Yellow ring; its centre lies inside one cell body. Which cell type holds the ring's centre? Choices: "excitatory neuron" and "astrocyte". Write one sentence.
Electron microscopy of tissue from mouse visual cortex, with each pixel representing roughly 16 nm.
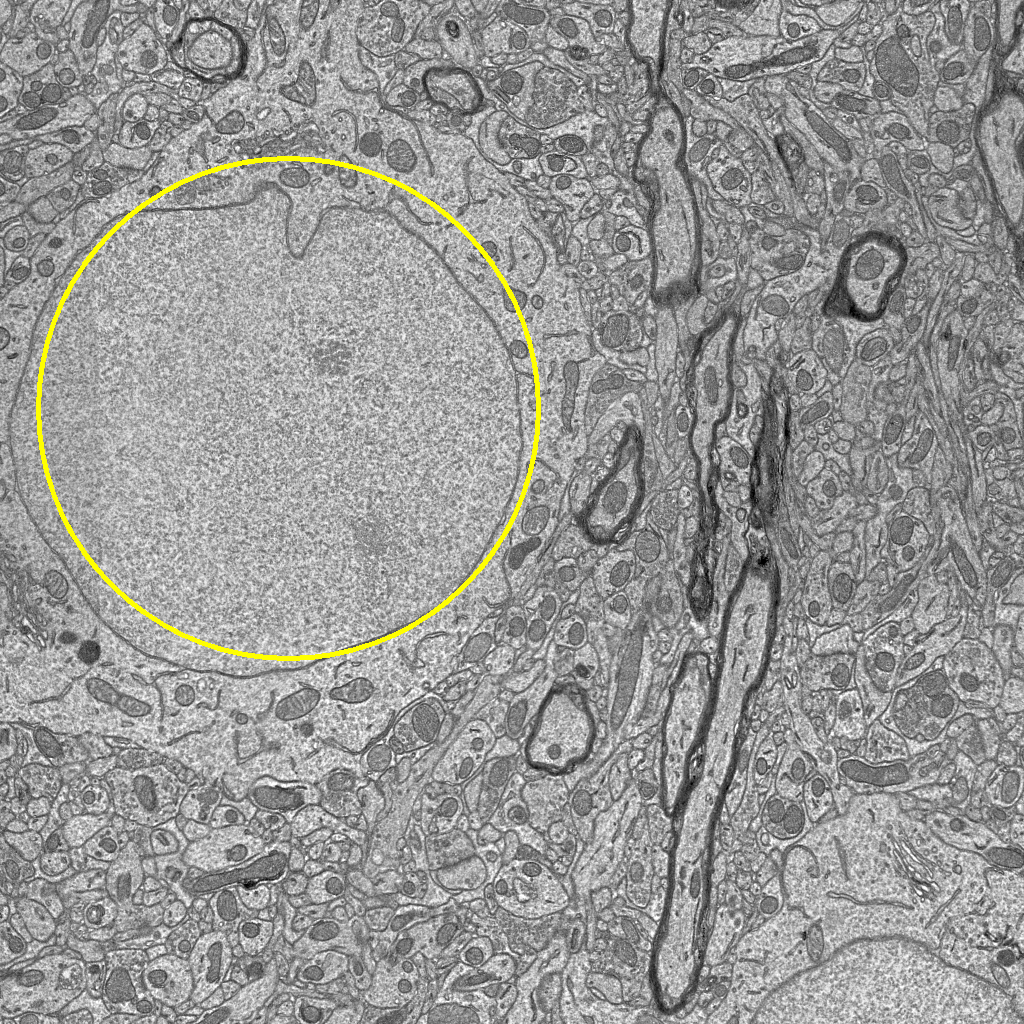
At the centre of the ring sits an excitatory neuron.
